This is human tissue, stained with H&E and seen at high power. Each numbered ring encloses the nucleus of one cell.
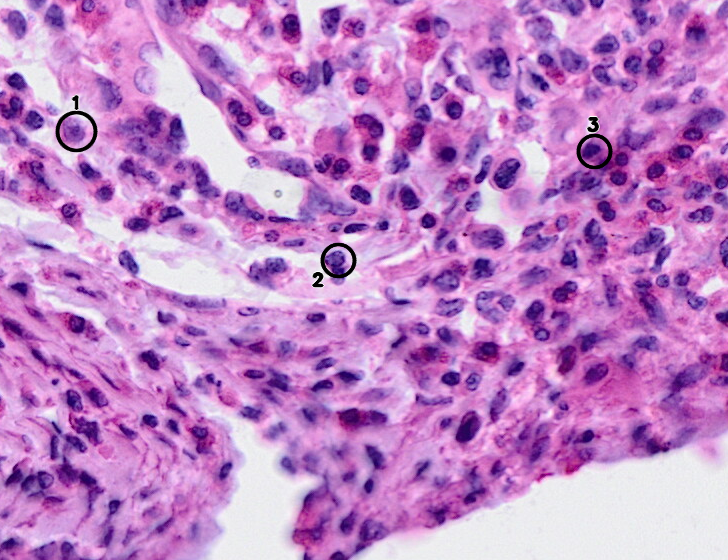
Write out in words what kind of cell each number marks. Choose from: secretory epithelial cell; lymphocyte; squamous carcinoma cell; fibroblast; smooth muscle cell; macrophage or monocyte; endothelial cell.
Cell 1 is a macrophage or monocyte. Cells 2 and 3 are lymphocytes.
